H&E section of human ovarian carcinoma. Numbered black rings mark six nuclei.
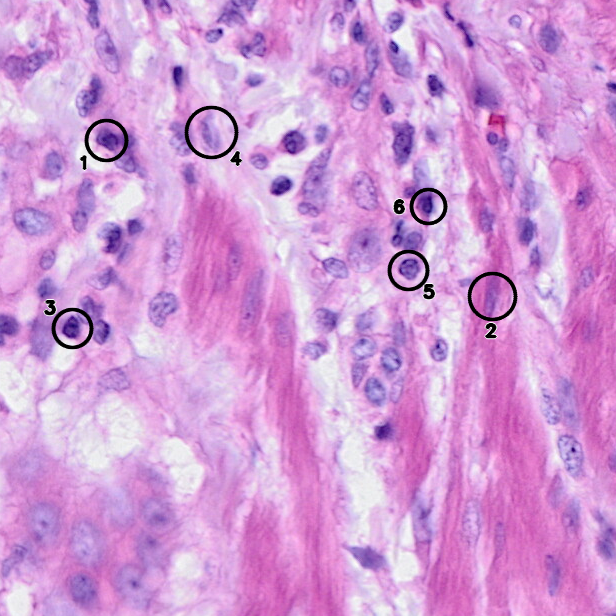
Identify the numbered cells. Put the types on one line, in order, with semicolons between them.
lymphocyte; smooth muscle cell; lymphocyte; fibroblast; lymphocyte; lymphocyte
